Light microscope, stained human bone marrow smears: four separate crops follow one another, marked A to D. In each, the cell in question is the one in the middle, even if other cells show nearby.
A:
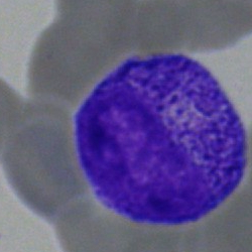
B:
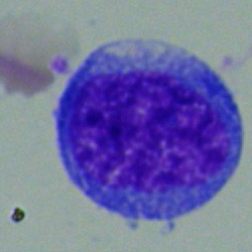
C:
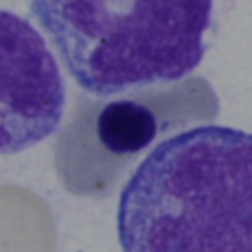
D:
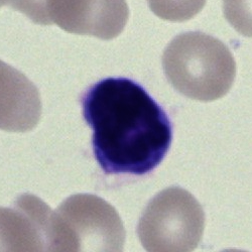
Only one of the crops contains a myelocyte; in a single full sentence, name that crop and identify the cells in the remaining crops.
Crop A is a myelocyte; as for the rest, crop B is a blast, crop C is a normoblast and crop D is a lymphocyte.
